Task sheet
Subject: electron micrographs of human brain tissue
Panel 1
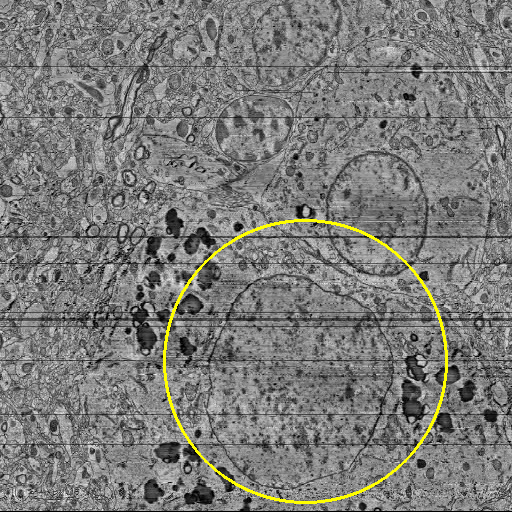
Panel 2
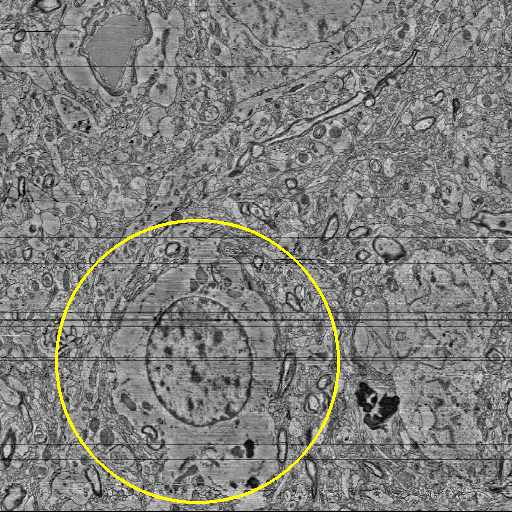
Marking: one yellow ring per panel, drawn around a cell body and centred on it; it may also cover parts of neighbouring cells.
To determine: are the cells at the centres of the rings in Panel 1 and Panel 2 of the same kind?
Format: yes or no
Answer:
no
